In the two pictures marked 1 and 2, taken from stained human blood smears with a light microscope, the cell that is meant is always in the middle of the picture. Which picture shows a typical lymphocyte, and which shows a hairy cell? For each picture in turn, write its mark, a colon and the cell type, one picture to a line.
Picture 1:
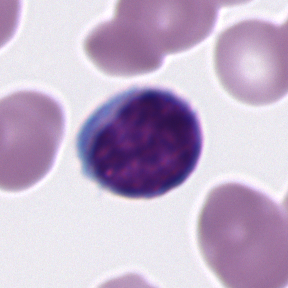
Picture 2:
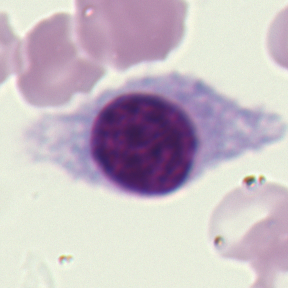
1: typical lymphocyte
2: hairy cell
